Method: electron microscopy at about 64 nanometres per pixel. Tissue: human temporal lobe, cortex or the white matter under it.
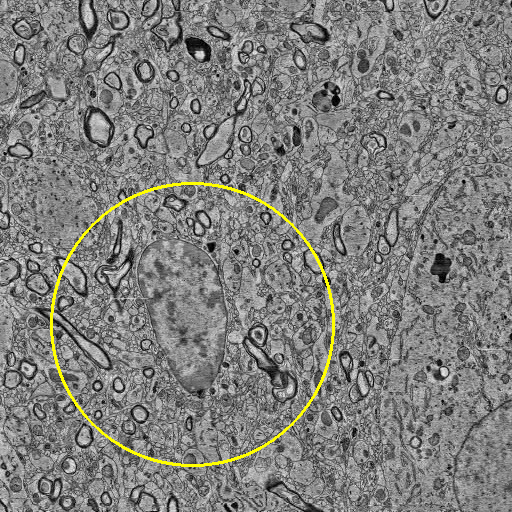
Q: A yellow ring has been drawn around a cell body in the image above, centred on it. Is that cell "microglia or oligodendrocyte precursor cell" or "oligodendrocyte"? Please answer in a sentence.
The ring surrounds the cell body of a microglial cell or oligodendrocyte precursor cell.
